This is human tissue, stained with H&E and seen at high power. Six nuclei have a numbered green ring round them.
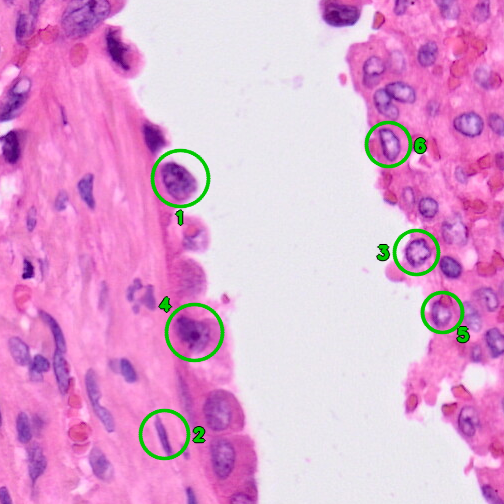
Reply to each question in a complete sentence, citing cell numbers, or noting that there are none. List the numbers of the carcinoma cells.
The cells numbered 1 and 4 are identified as carcinoma cells.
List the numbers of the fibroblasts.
Of the numbered nuclei, only the one labelled 2 belongs to a fibroblast.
